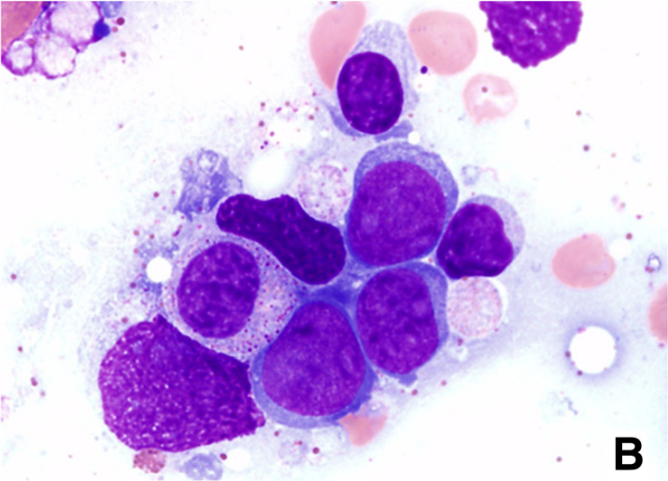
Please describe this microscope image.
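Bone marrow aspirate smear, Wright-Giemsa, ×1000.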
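Several large cells have round to slightly indented nuclei with fine, evenly dispersed purple chromatin and scant grey-blue cytoplasm forming a thin rim. One cell has a darker, irregular, more condensed nucleus. A large cell at the lower left has a coarse granular dark-purple texture. Scattered pale pink red cells and small red-purple granules lie in the pale background around the cluster.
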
